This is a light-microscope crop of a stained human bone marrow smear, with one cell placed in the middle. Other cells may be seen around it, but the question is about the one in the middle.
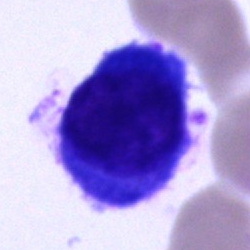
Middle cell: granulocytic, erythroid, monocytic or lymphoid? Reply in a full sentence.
As for the middle cell, it is a member of the lymphoid lineage.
